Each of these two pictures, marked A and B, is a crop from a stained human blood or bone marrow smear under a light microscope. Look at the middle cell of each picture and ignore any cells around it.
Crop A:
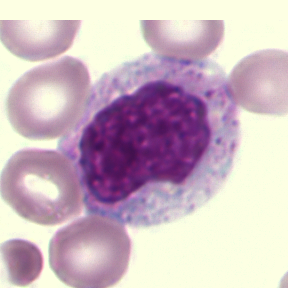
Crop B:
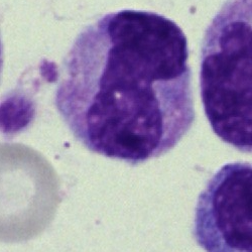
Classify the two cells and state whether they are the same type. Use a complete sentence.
No, it is crop A that shows a metamyelocyte, and crop B shows a band neutrophil.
